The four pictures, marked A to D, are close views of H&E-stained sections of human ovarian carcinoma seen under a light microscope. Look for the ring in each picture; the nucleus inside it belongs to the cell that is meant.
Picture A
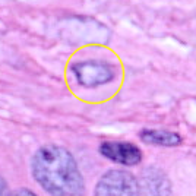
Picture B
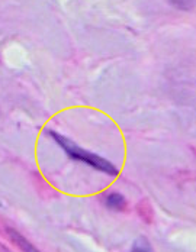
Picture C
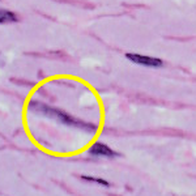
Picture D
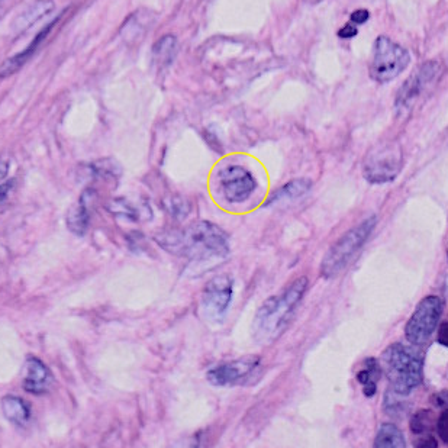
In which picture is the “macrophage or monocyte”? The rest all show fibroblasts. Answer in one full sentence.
The picture with the “macrophage or monocyte” is D.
